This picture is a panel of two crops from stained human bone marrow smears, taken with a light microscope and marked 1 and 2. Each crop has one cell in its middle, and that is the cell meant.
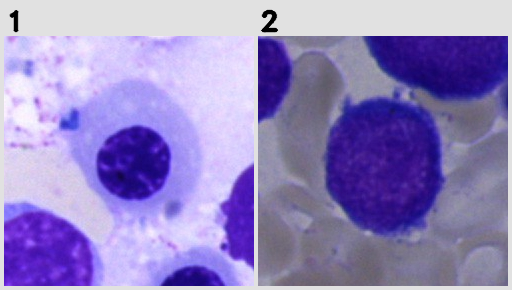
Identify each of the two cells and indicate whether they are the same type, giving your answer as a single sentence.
No, crop 1 and crop 2 show an erythroblast and a blast respectively.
